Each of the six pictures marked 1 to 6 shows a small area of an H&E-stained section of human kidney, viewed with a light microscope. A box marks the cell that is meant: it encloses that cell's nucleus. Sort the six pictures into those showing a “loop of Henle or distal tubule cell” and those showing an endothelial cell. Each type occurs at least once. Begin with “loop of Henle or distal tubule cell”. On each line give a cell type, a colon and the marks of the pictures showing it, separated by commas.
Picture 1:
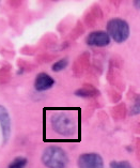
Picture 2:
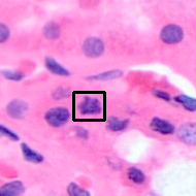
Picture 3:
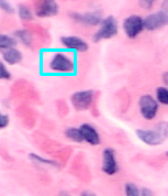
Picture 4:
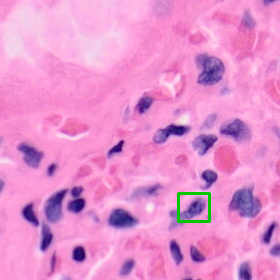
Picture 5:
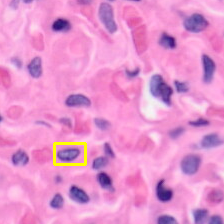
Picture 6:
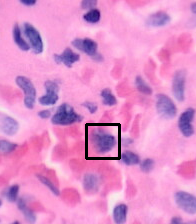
loop of Henle or distal tubule cell: 1, 2
endothelial cell: 3, 4, 5, 6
